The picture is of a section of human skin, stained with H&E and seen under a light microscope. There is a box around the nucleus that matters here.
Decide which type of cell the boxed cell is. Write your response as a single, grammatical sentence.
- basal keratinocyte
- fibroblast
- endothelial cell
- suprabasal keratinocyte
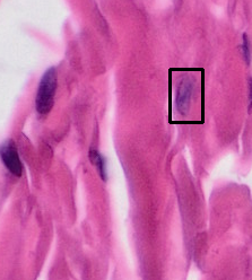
In the stained section, the boxed cell is a fibroblast.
